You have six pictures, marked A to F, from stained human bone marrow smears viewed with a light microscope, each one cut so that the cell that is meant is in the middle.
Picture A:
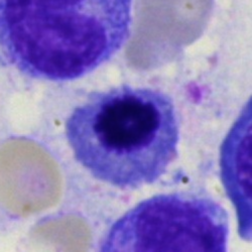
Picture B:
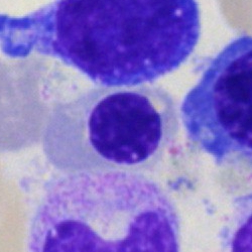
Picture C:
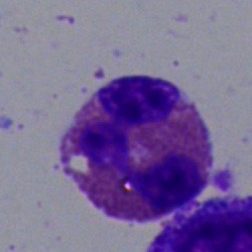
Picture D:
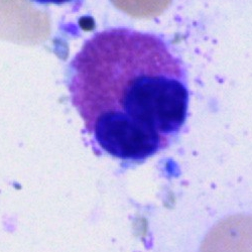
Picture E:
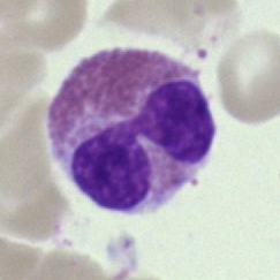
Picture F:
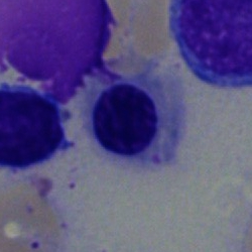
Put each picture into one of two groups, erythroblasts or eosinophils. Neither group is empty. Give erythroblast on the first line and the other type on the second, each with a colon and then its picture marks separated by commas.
erythroblast: A, B, F
eosinophil: C, D, E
